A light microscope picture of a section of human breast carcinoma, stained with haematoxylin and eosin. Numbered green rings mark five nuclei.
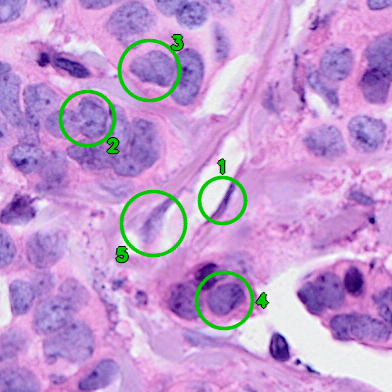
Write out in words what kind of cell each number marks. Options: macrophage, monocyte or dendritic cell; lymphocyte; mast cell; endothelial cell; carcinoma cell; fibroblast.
Cell 1 is a fibroblast, cell 2 is a carcinoma cell, cell 3 is a carcinoma cell, cell 4 is a carcinoma cell and cell 5 is a fibroblast.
